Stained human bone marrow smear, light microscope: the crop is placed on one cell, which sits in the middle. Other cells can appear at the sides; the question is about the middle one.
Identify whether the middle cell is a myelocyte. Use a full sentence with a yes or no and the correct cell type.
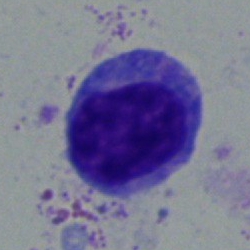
No, the cell in the middle is a monocyte; it is not a myelocyte.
